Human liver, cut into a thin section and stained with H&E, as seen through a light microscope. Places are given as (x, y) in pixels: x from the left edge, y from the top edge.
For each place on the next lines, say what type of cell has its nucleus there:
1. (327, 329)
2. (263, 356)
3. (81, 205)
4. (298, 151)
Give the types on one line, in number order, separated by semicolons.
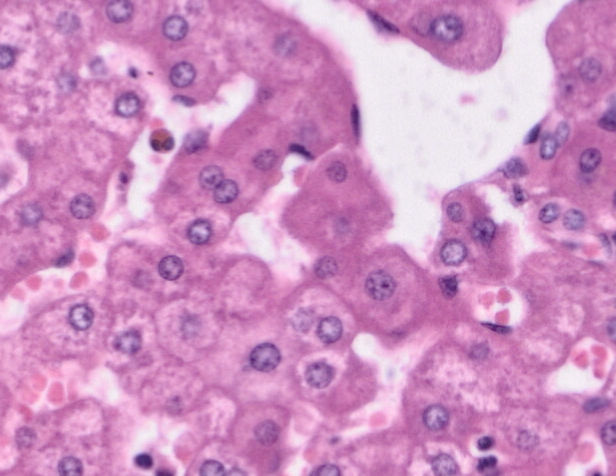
hepatocyte; hepatocyte; hepatocyte; fibroblast or stellate cell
